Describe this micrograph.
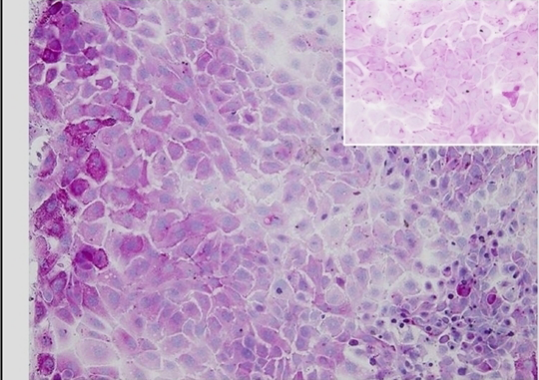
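This is a sheet of cultured epithelial cells, packed edge to edge into a polygonal, cobblestone pattern. Each cell has a pale oval nucleus in a cytoplasm stained in shades of magenta to lilac. The magenta is deepest in a band of large cells along the left edge and fades toward the pale centre of the sheet. In the lower right the cells are smaller and more crowded, with small dark round profiles among them. The inset shows a similar sheet with a much paler pink stain throughout.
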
